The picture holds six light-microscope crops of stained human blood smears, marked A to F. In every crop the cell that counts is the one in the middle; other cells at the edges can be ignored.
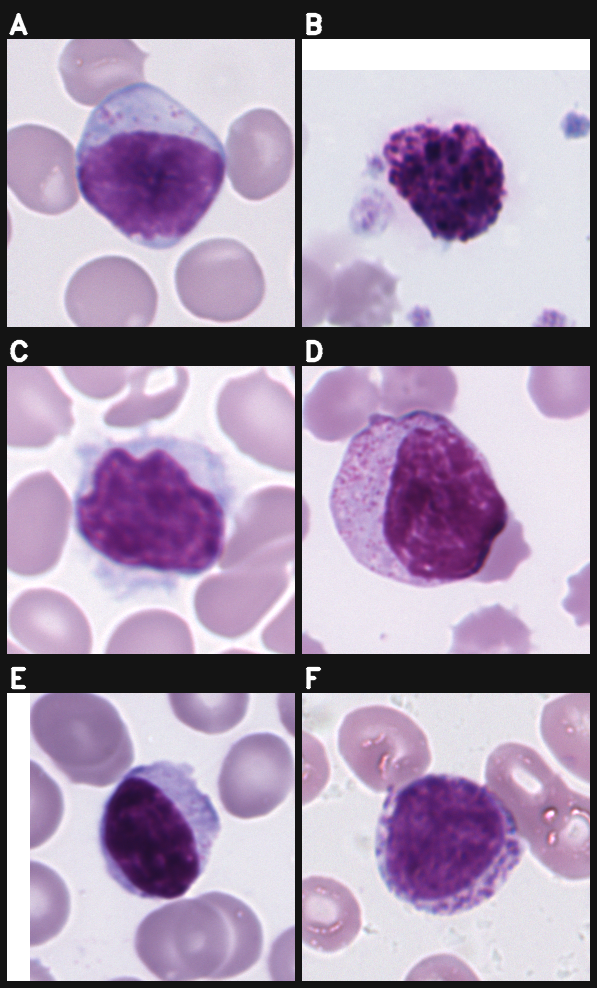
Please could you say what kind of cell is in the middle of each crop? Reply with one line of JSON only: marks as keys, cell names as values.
{"A": "large granular lymphocyte", "B": "basophil", "C": "hairy cell", "D": "myelocyte", "E": "typical lymphocyte", "F": "myelocyte"}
